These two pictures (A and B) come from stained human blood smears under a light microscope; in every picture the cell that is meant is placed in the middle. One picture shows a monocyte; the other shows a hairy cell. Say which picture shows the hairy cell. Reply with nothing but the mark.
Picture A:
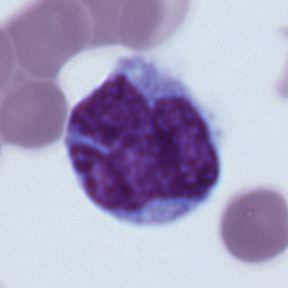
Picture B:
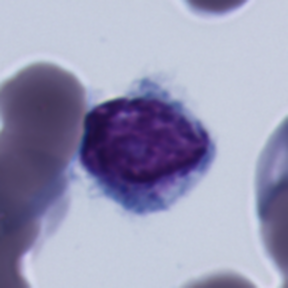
B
